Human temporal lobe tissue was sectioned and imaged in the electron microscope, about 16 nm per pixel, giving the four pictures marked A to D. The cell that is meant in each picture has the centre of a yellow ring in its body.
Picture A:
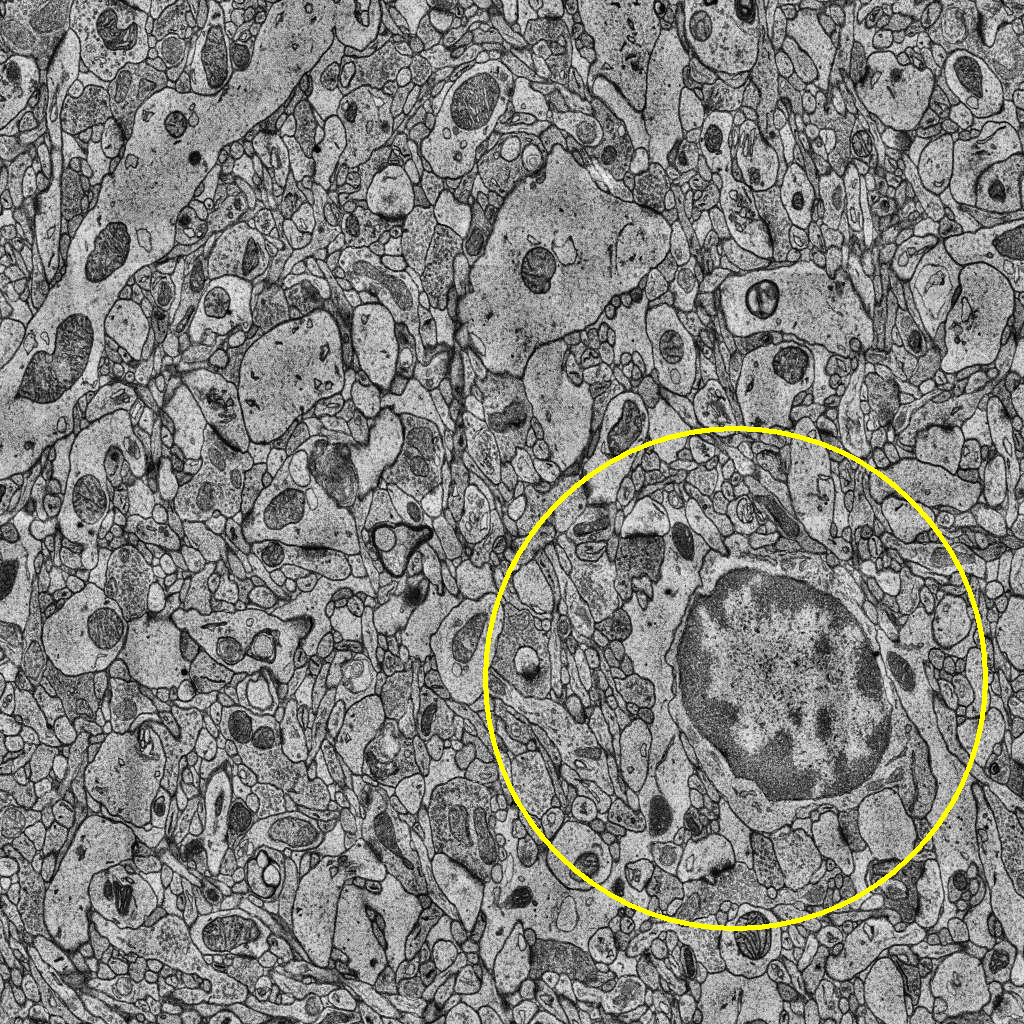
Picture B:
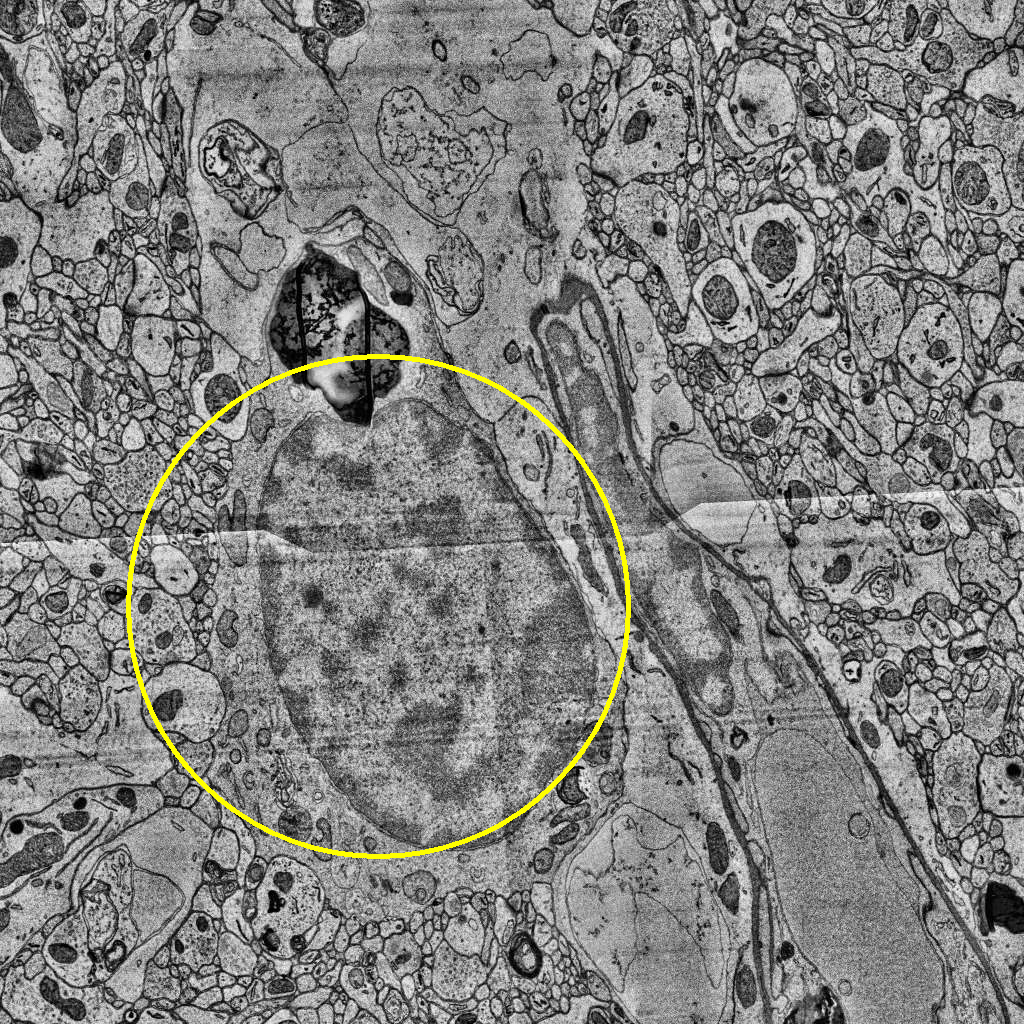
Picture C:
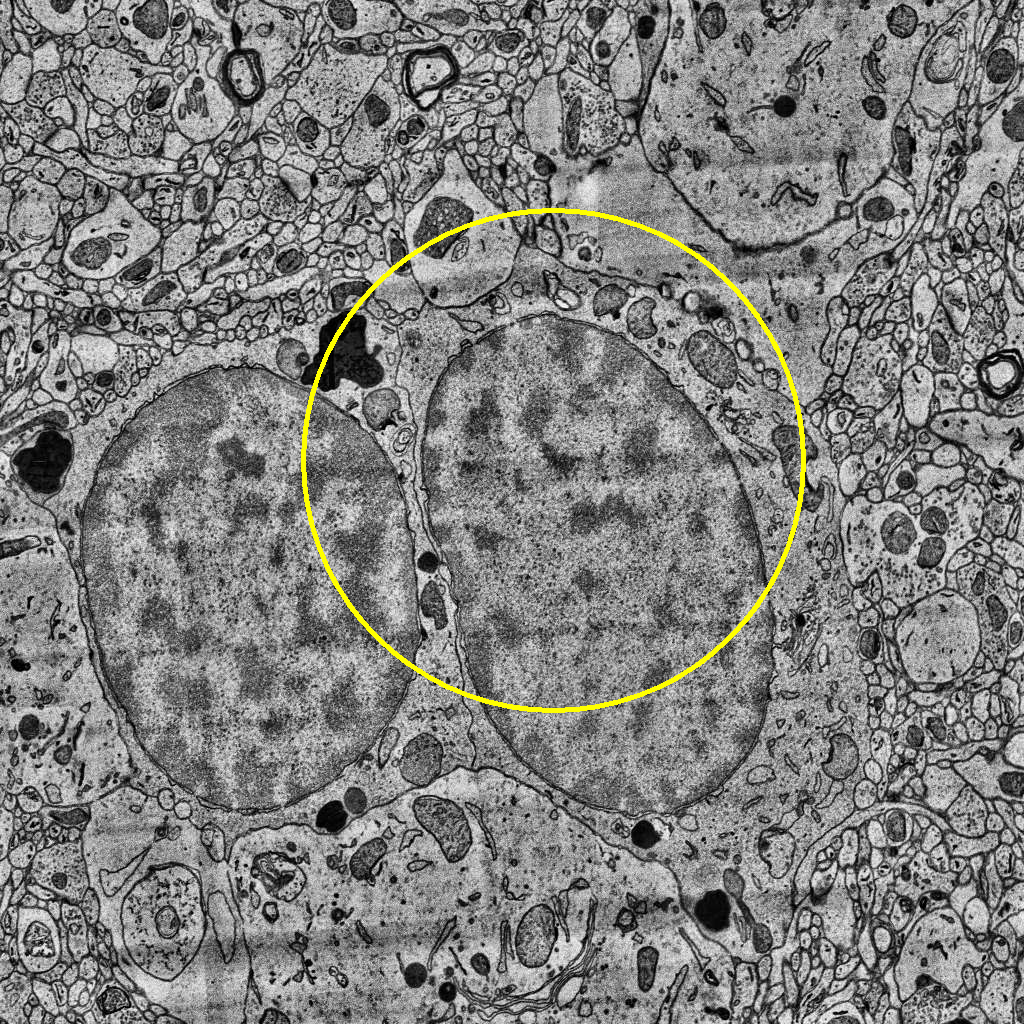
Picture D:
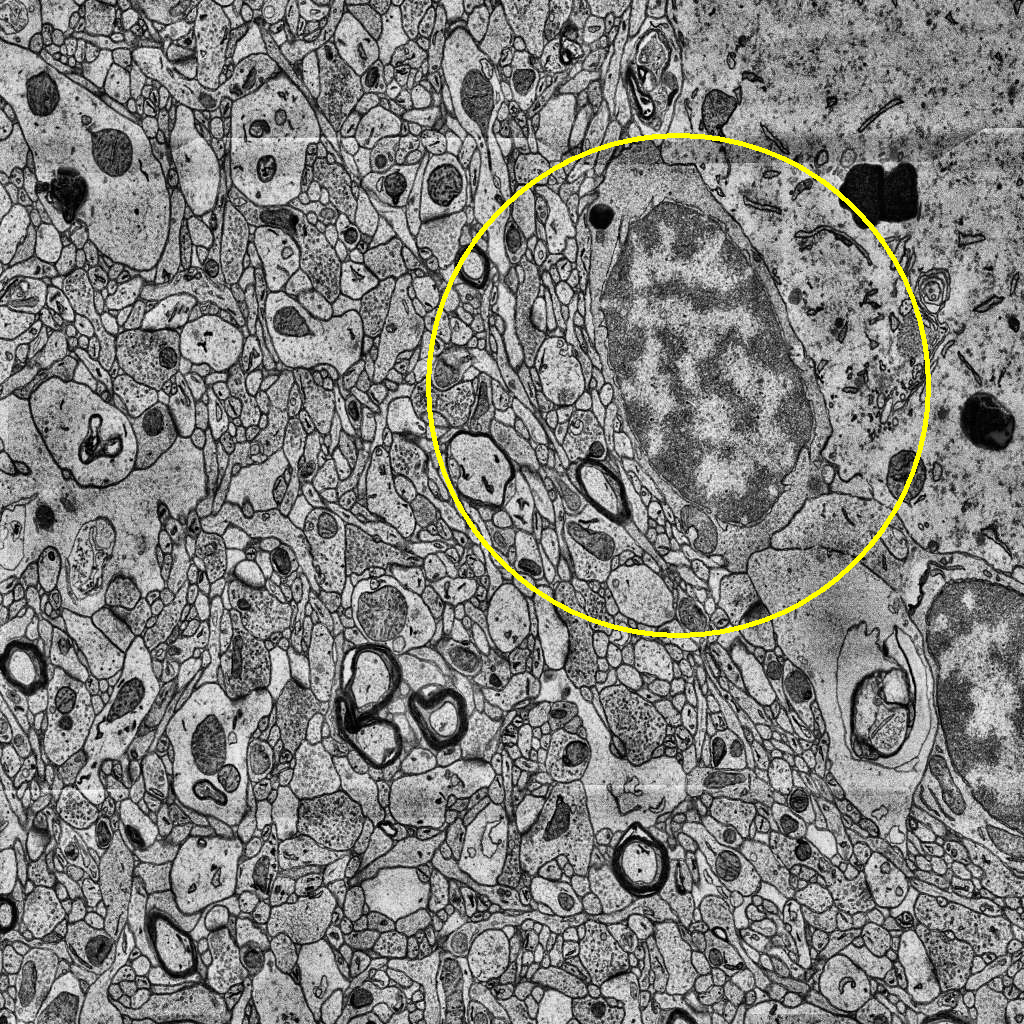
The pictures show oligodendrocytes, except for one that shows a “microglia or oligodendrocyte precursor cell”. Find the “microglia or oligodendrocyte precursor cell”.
The picture with the “microglia or oligodendrocyte precursor cell” is A.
